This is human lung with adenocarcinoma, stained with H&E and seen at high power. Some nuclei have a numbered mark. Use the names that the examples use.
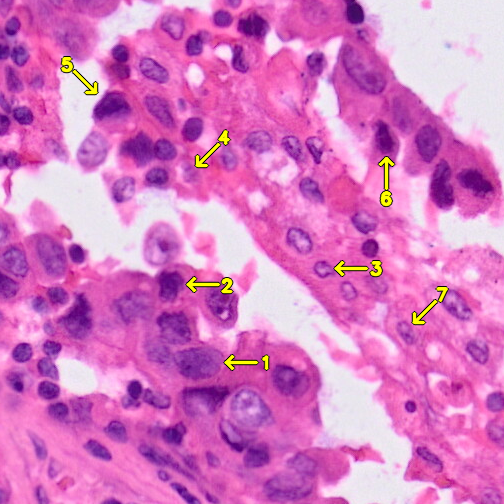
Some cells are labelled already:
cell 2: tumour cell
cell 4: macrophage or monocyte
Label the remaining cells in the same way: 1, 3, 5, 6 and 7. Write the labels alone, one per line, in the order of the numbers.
tumour cell
macrophage or monocyte
tumour cell
tumour cell
macrophage or monocyte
